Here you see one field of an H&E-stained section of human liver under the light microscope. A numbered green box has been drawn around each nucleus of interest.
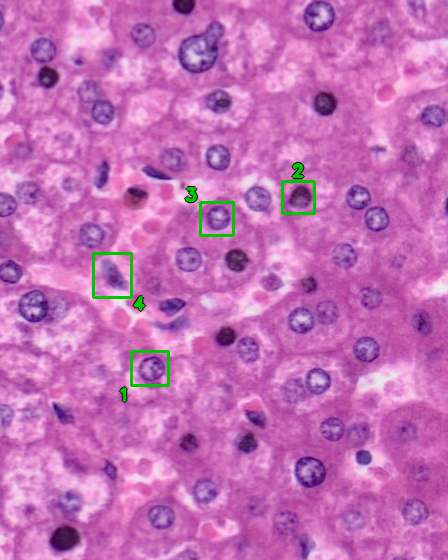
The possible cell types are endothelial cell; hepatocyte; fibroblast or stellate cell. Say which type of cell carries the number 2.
hepatocyte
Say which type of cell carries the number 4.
endothelial cell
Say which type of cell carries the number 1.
hepatocyte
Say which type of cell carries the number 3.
hepatocyte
